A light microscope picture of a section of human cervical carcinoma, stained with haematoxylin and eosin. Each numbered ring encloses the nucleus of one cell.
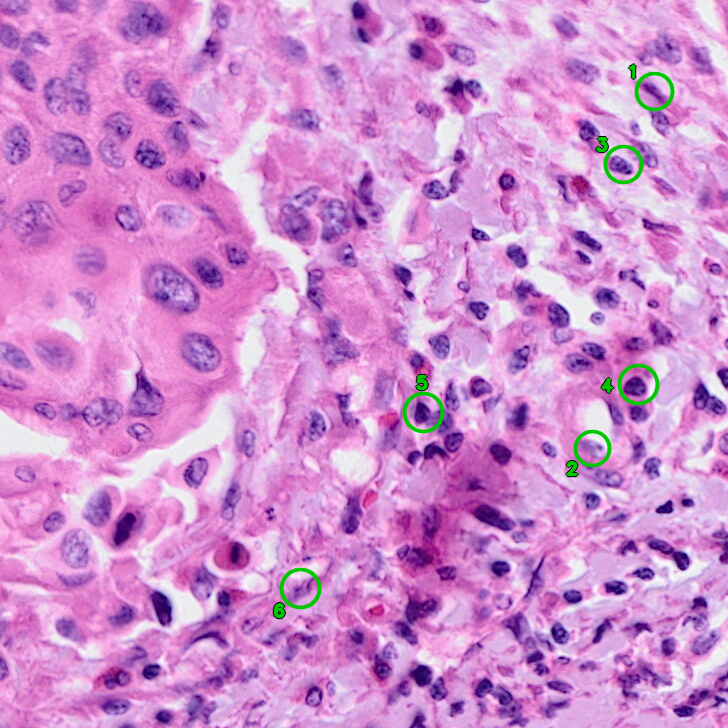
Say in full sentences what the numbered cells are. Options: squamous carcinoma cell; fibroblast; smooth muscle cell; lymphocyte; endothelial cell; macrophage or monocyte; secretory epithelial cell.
Cell 1 is a fibroblast, cell 2 is an endothelial cell, cell 3 is a lymphocyte, cell 4 is a lymphocyte, cell 5 is a lymphocyte and cell 6 is a fibroblast.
